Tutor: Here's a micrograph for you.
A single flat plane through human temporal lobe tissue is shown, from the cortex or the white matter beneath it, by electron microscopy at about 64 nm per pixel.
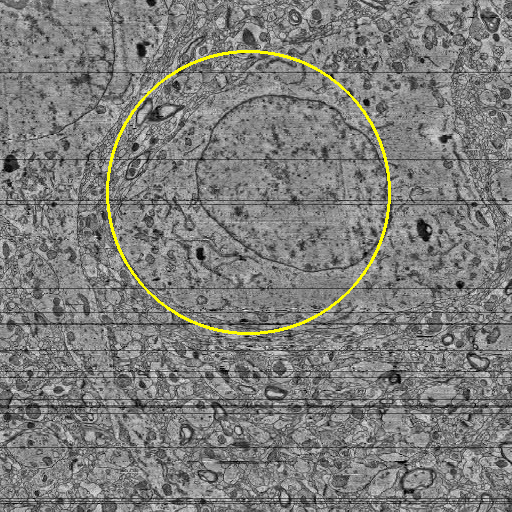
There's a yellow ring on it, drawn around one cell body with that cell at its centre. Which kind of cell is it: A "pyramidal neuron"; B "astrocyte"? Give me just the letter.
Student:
A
